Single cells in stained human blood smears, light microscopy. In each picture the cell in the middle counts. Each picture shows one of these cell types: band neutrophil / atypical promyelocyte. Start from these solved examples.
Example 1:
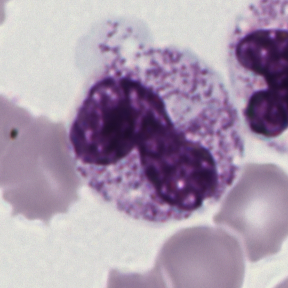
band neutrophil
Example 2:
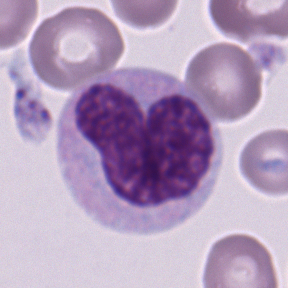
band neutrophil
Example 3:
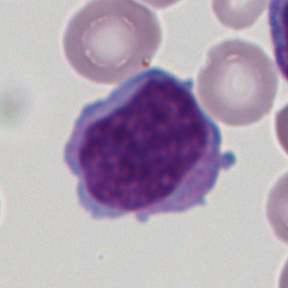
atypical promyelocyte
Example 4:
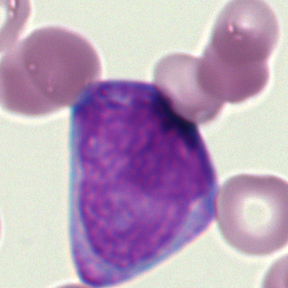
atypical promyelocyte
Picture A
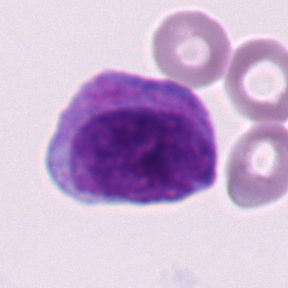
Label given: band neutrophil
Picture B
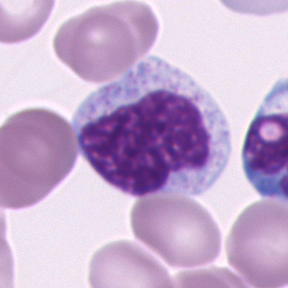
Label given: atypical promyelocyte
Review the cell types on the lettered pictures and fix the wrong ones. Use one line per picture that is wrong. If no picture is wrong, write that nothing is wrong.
A should be atypical promyelocyte, not band neutrophil
B should be band neutrophil, not atypical promyelocyte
